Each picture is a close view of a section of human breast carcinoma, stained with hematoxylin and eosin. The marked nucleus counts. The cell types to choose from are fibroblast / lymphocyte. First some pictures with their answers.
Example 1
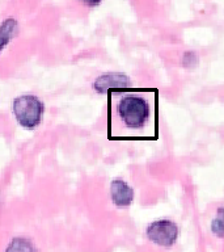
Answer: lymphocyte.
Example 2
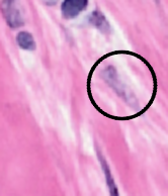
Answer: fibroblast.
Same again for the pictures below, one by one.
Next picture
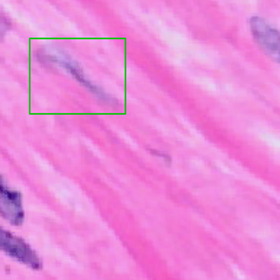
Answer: fibroblast.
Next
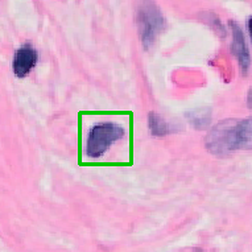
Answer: lymphocyte.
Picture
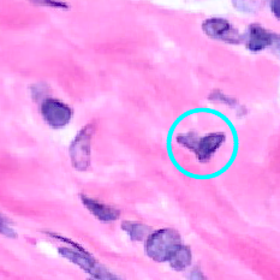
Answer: lymphocyte.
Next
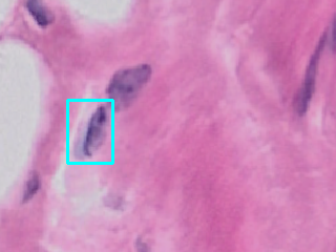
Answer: fibroblast.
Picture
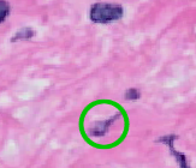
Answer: fibroblast.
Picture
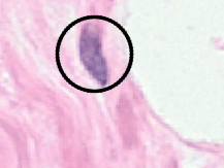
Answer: fibroblast.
